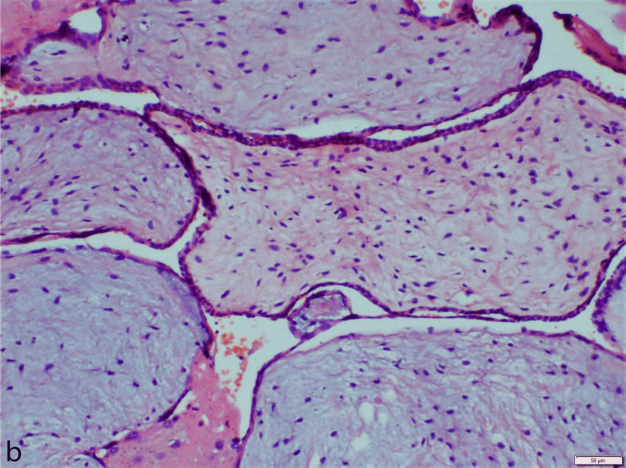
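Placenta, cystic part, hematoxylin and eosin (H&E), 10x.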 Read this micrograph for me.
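Enlarged chorionic villi with myxoid stroma. Broad villi fill the field, their cores pale lilac to bluish-grey and loose, with scattered small spindle and oval nuclei spread widely apart. Few or no capillaries are seen within the cores. Narrow clefts between the villi hold red blood cells and pink material. A small fragment of another villus lies wedged between the large ones.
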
